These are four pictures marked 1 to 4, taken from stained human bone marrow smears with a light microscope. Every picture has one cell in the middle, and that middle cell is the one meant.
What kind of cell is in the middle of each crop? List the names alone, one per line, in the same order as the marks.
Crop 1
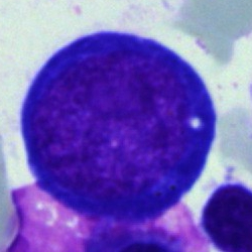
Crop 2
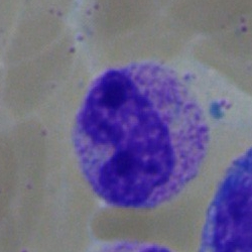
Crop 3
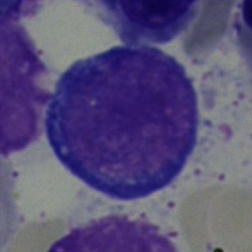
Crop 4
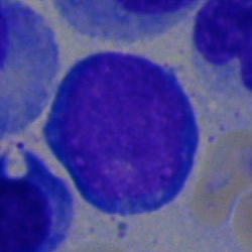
proerythroblast
band neutrophil
proerythroblast
proerythroblast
